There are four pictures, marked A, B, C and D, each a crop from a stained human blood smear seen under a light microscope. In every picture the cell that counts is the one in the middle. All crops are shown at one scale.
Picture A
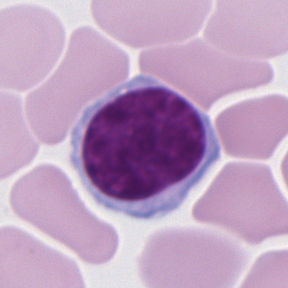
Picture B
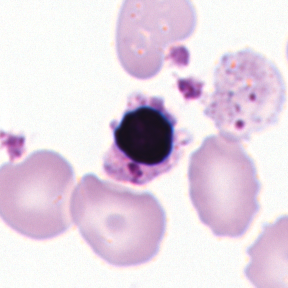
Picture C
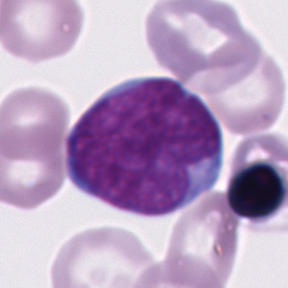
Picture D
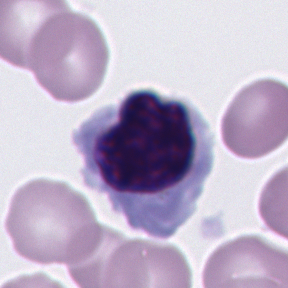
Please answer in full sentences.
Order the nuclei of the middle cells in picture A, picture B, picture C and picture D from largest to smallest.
The order is C, A, D, B, beginning with the largest.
